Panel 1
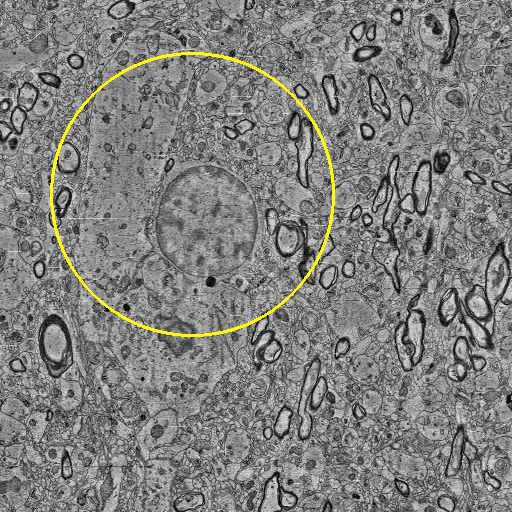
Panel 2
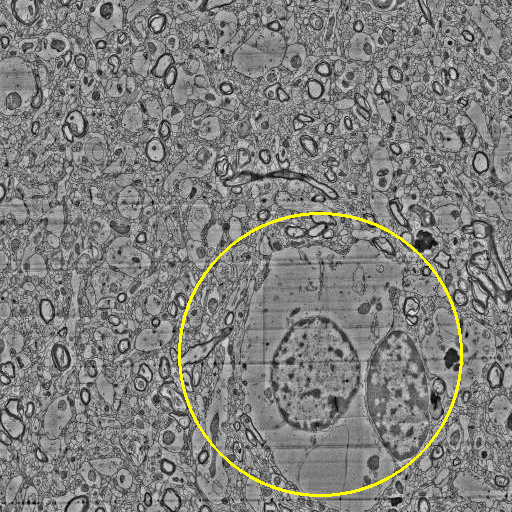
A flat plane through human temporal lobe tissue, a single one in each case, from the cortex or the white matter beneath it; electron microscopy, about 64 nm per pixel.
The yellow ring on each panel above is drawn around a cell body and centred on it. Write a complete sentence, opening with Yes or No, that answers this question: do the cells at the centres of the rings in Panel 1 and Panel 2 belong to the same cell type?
No, the two cells belong to two cell types.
